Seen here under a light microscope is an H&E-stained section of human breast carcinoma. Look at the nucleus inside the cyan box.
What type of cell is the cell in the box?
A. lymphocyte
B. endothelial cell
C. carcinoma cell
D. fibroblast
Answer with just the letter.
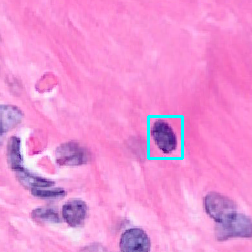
A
